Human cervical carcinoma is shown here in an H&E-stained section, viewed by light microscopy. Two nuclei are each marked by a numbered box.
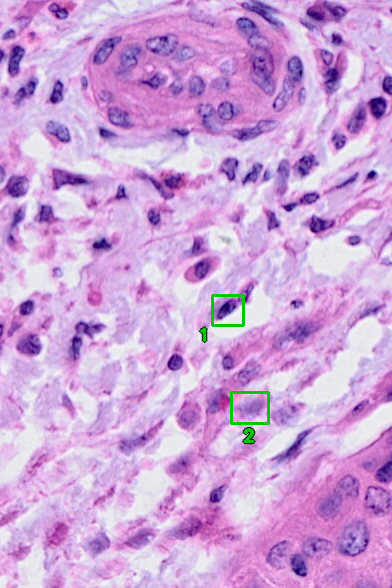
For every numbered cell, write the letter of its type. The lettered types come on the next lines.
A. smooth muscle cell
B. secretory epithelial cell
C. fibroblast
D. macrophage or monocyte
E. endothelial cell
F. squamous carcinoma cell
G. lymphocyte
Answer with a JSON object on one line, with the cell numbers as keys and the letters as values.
{"1": "G", "2": "C"}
